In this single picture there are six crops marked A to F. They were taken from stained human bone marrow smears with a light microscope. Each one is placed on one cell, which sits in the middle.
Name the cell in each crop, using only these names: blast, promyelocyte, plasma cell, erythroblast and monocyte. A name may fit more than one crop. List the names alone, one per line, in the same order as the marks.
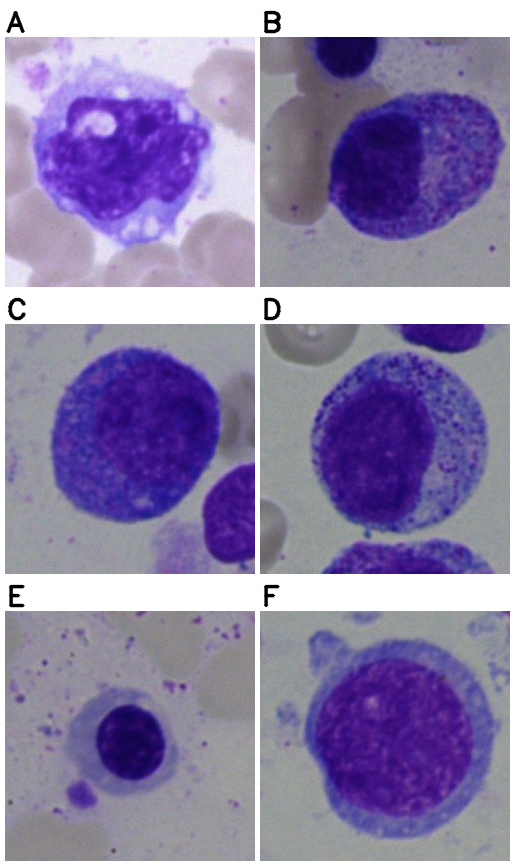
monocyte
promyelocyte
promyelocyte
promyelocyte
erythroblast
blast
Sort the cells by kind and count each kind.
promyelocyte: 3
monocyte: 1
erythroblast: 1
blast: 1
